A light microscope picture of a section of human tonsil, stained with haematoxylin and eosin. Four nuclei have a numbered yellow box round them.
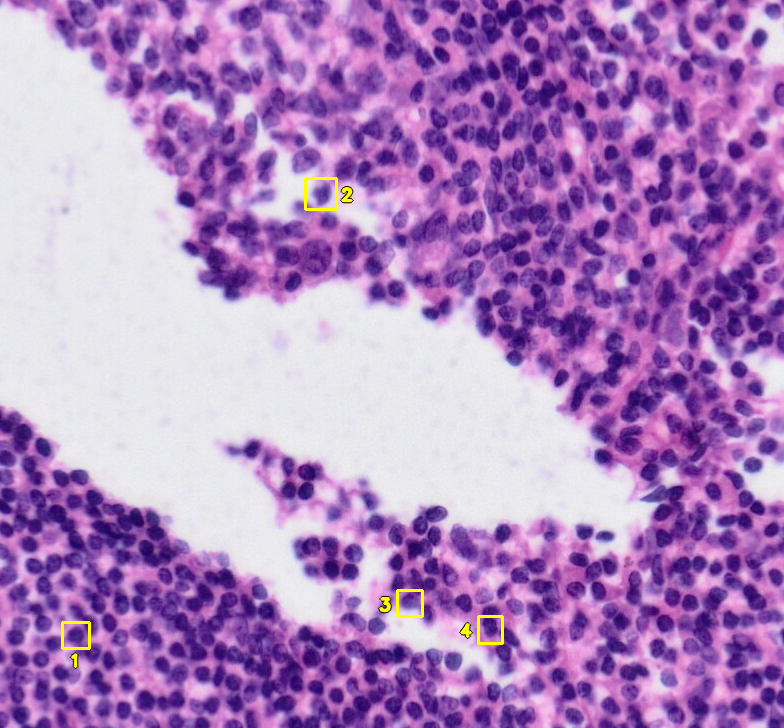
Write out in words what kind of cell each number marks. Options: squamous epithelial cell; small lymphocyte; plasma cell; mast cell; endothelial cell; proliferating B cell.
Cell 1 is a small lymphocyte, cell 2 is a proliferating B cell, cell 3 is a small lymphocyte and cell 4 is a small lymphocyte.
